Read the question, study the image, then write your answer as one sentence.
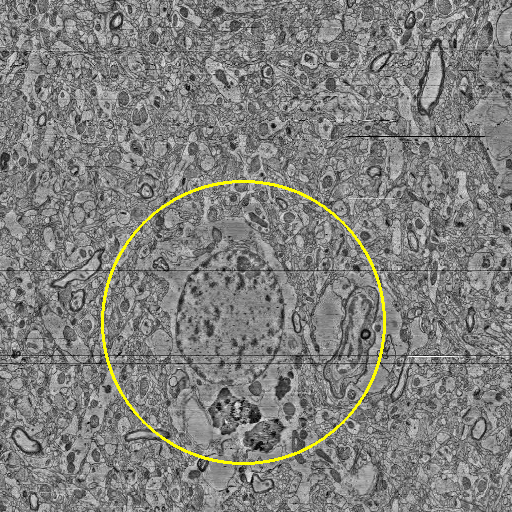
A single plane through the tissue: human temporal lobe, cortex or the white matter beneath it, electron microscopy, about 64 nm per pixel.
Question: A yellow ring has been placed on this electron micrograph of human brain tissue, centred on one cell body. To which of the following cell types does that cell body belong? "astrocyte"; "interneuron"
That cell body belongs to an astrocyte.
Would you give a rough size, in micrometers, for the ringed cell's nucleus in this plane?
In this plane the nucleus measures roughly 9 by 7 micrometers.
